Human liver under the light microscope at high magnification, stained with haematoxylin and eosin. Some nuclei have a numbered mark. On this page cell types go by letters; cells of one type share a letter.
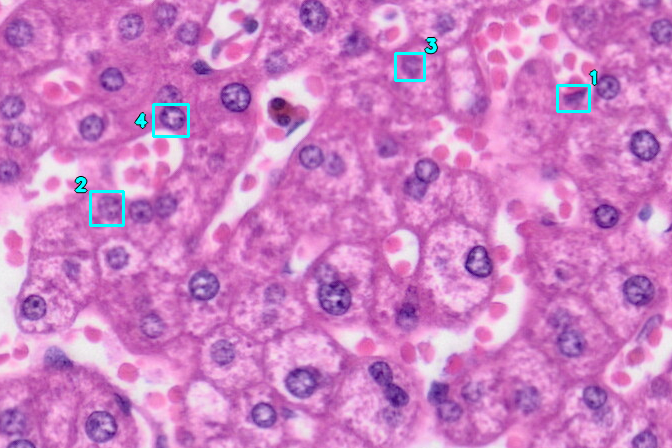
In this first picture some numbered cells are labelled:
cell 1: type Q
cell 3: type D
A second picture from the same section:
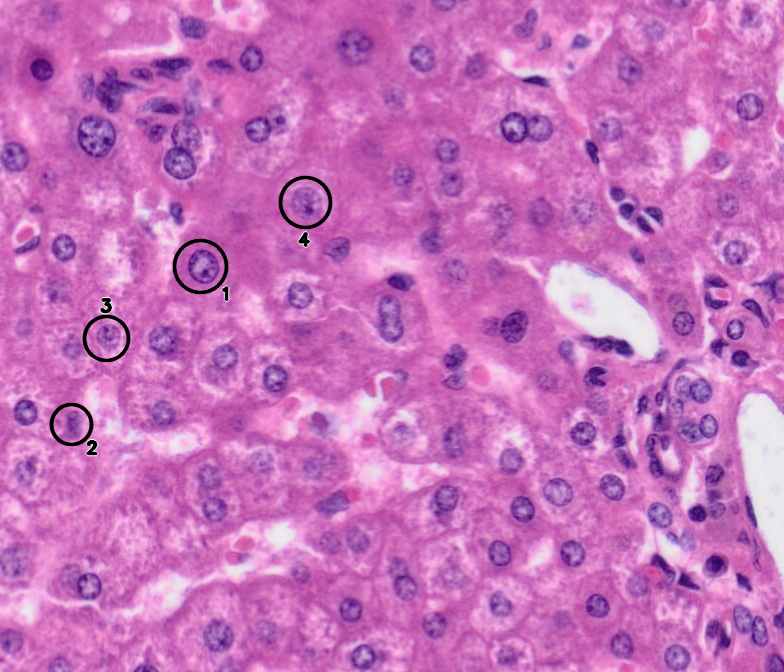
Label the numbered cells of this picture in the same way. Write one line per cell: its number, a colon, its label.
1: type D
2: type Q
3: type D
4: type D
